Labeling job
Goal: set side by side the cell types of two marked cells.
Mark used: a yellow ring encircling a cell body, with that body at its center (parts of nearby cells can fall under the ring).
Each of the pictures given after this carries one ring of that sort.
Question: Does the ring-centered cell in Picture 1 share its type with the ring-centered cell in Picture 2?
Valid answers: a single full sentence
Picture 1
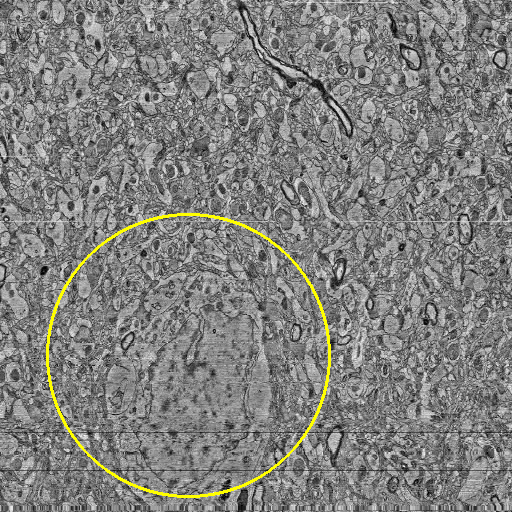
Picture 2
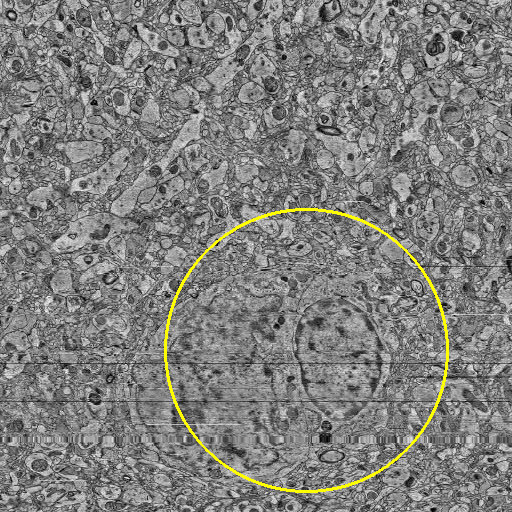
No, in Pictures 1 and 2 the cells at the ring centers have separate types.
